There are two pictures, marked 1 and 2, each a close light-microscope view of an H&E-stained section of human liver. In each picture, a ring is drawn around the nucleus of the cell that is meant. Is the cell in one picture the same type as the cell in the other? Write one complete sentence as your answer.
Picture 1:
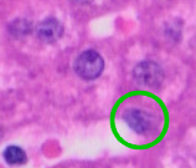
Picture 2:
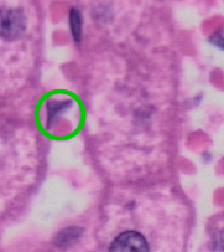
Yes; the cells in both pictures are endothelial cells.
